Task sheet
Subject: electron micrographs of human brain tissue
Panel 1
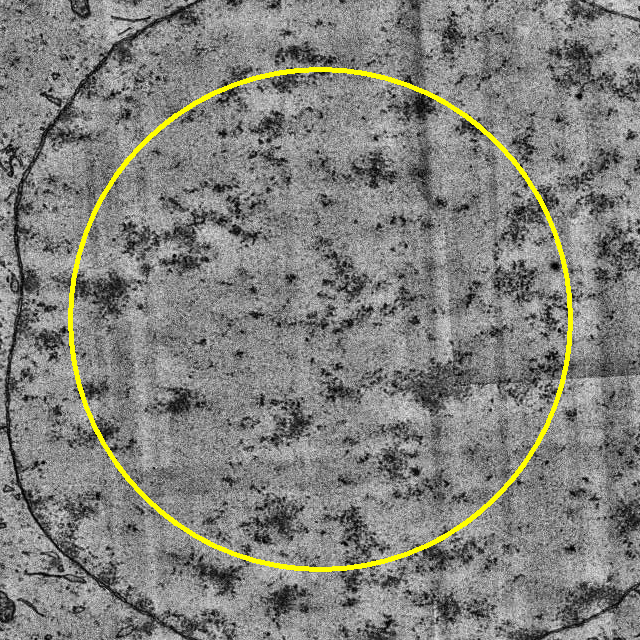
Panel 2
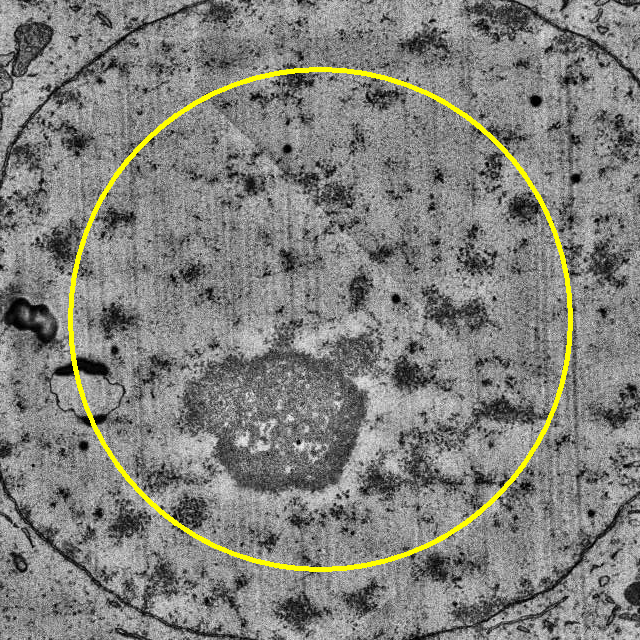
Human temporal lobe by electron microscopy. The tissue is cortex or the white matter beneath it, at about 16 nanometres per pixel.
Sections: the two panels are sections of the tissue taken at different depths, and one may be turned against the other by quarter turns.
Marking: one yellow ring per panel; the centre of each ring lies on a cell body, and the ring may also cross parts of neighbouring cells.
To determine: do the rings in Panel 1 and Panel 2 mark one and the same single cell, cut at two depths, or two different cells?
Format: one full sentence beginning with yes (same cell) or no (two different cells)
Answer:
Yes, the same cell turns up inside each of the two rings.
